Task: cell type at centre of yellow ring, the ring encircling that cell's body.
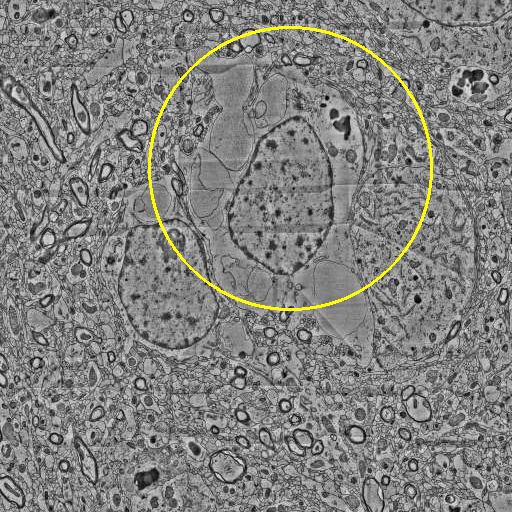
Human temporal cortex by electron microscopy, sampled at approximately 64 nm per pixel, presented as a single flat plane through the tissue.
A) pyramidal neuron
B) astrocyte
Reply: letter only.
B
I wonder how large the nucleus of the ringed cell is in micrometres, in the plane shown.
Roughly 10 micrometres by 7 micrometres, so the nucleus is clearly longer than it is wide in this plane.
